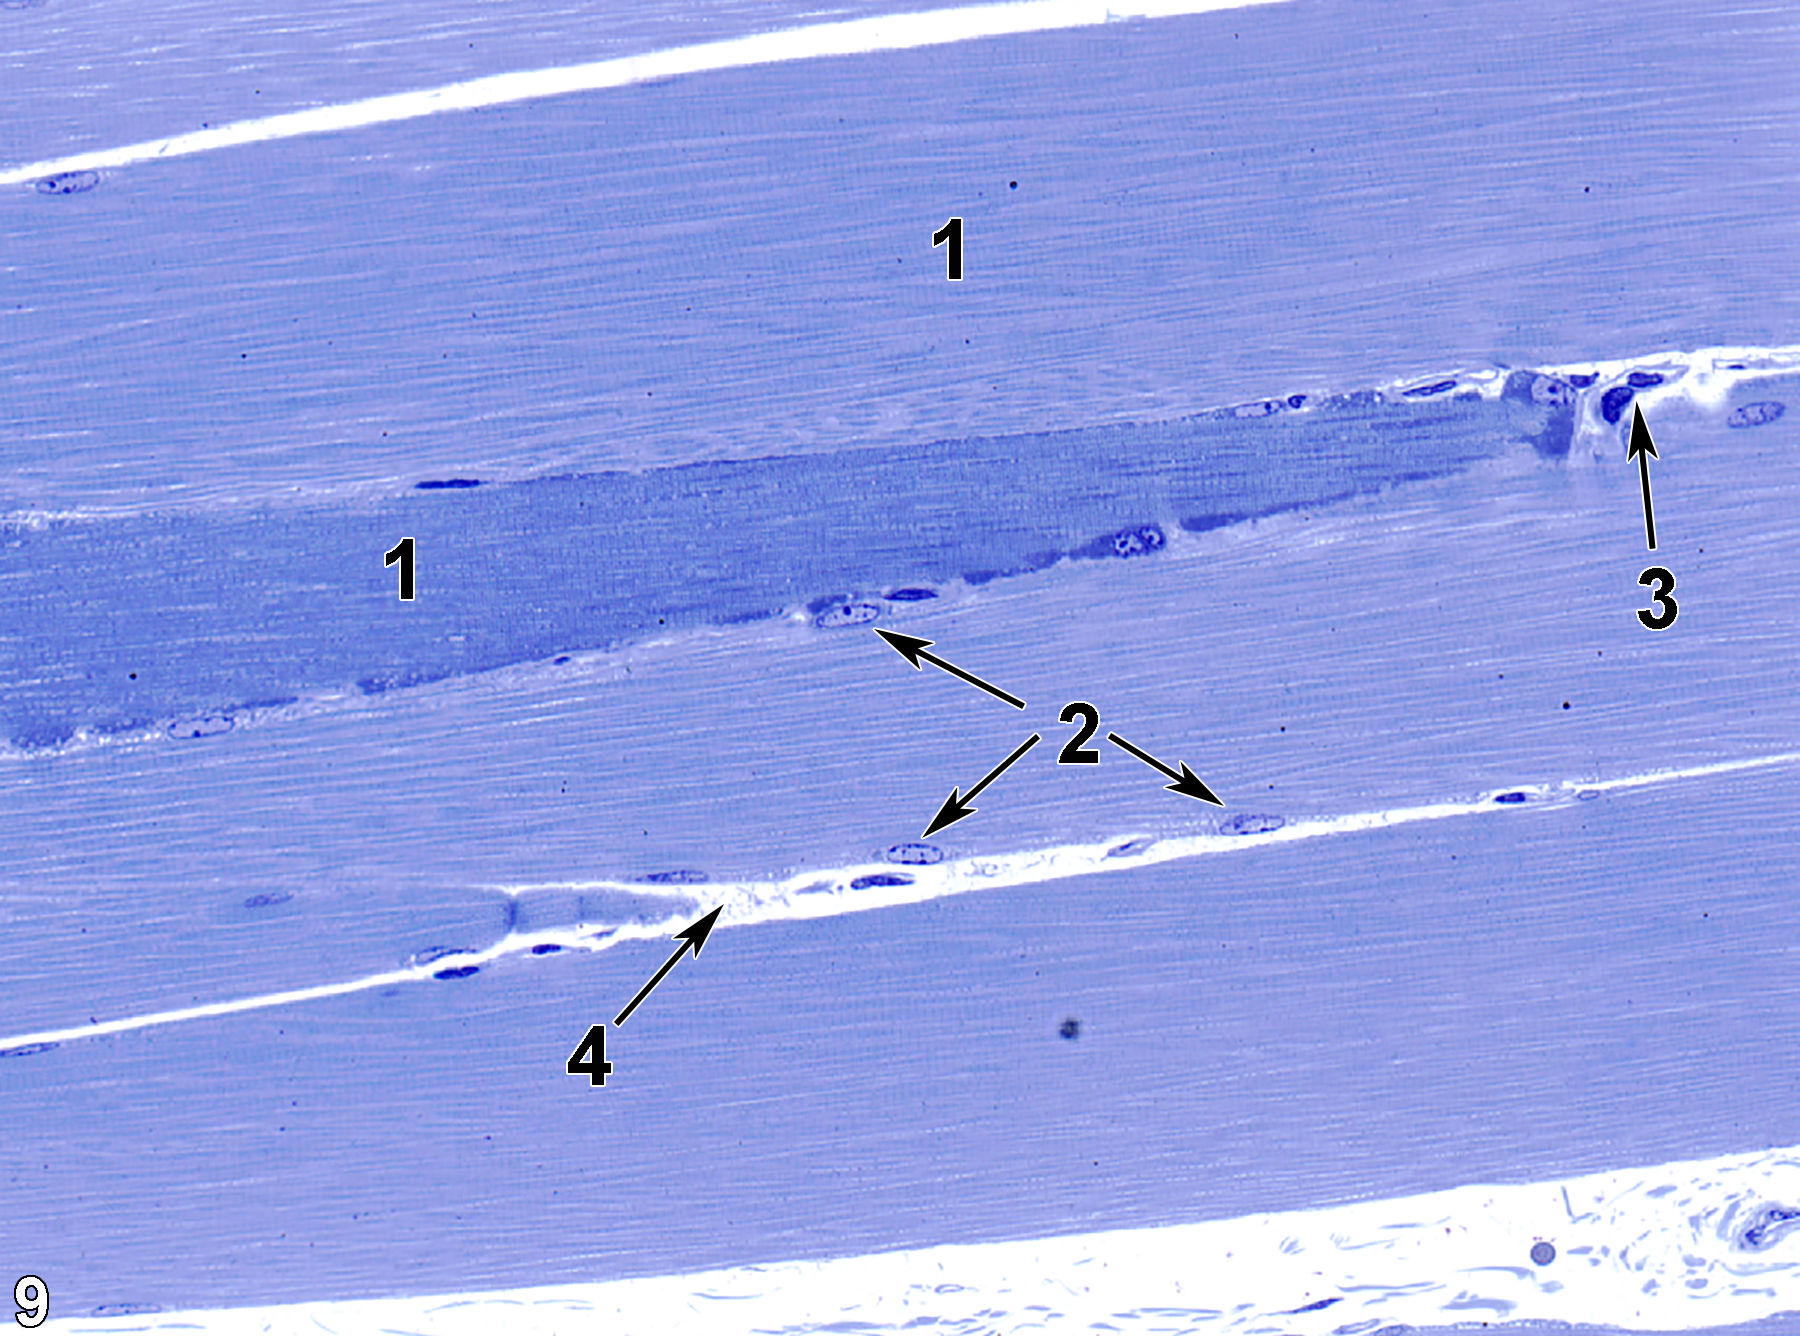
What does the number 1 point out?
The number 1 marks the skeletal muscle fiber.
